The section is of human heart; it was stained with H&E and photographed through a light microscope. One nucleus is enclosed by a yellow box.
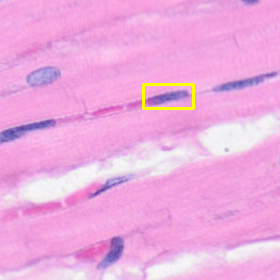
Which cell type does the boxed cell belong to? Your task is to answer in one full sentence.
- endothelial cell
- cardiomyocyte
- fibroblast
Assigned to a cell type, the boxed cell is an endothelial cell.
